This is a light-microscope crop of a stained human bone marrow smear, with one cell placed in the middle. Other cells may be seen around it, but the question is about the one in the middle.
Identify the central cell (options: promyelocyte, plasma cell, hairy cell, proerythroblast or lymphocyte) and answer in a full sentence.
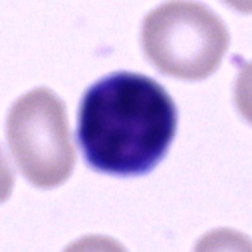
The crop shows a lymphocyte in its centre.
